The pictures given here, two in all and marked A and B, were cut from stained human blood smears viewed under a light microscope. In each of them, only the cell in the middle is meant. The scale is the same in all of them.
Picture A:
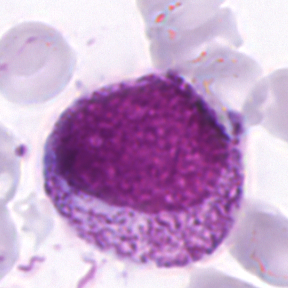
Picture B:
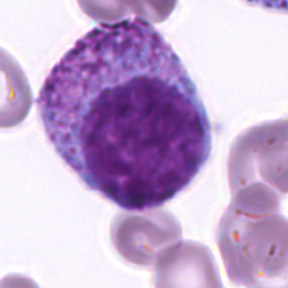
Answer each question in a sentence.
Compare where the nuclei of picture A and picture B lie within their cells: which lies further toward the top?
Seen within its cell, the nucleus in picture A lies further toward the top.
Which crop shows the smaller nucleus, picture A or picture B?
Smaller is the nucleus in picture B, and the other is about 1.5 times as large in area.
